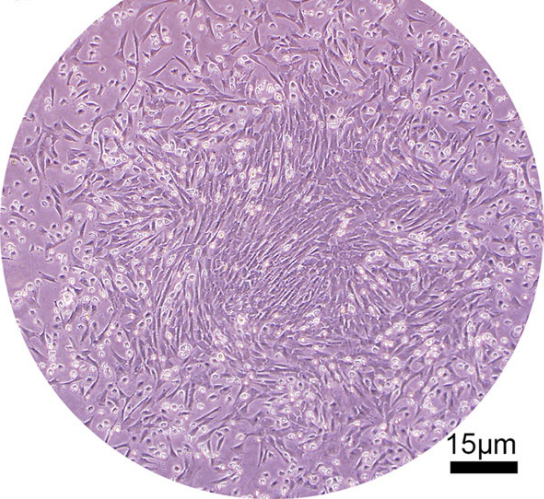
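In the centre of the field the cells are crowded and lie parallel to one another in streams and whorls. Toward the edges they are more loosely spread, with thin tapering ends, and some small round bright cells lie among them.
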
